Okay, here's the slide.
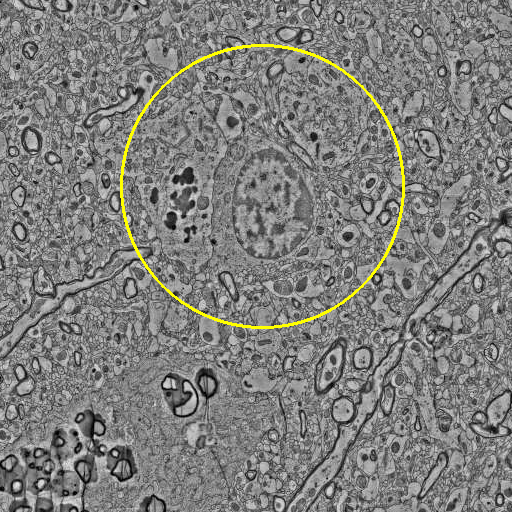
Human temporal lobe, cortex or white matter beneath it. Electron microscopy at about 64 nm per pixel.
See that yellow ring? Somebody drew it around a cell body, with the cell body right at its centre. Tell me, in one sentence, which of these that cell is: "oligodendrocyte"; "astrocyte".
The cell in the middle of the ring is an oligodendrocyte.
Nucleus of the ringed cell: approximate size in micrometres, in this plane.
The nucleus comes to roughly 7 by 5 micrometres in this plane.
